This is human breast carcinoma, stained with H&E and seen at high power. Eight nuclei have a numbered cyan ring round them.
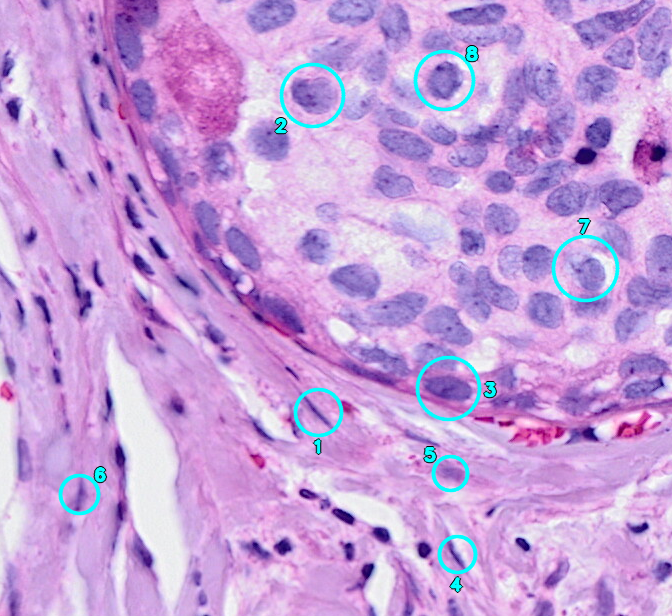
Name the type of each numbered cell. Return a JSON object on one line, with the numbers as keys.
{"1": "fibroblast", "2": "carcinoma cell", "3": "carcinoma cell", "4": "fibroblast", "5": "fibroblast", "6": "fibroblast", "7": "carcinoma cell", "8": "carcinoma cell"}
